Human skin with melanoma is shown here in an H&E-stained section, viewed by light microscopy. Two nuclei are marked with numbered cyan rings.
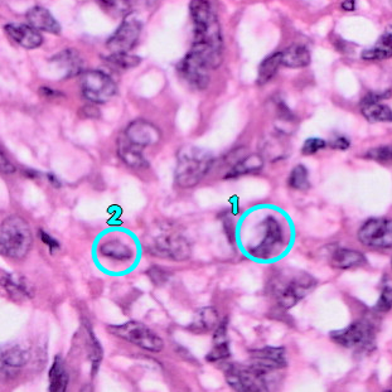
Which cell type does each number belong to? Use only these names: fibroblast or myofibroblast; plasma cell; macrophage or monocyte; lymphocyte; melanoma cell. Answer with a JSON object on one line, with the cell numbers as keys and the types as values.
{"1": "melanoma cell", "2": "macrophage or monocyte"}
